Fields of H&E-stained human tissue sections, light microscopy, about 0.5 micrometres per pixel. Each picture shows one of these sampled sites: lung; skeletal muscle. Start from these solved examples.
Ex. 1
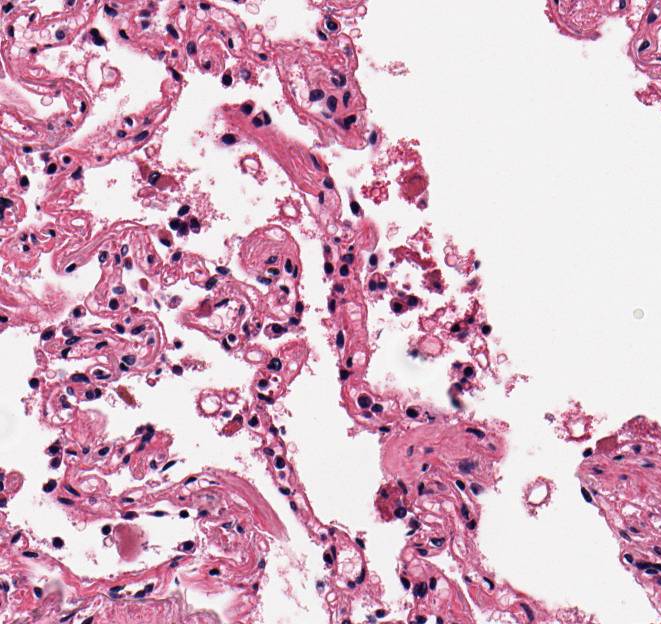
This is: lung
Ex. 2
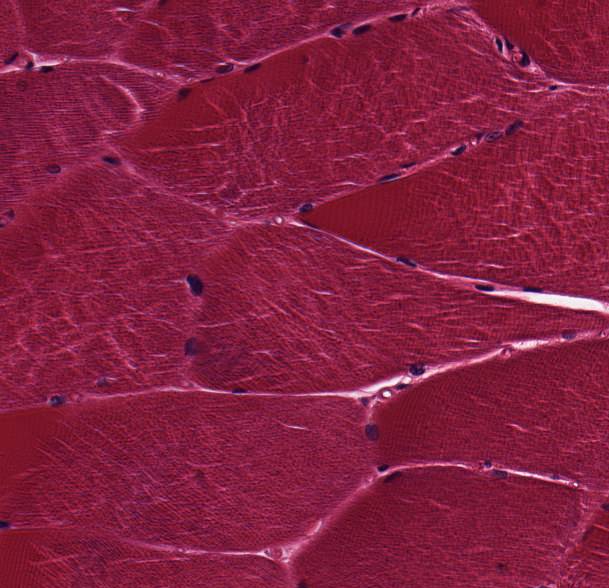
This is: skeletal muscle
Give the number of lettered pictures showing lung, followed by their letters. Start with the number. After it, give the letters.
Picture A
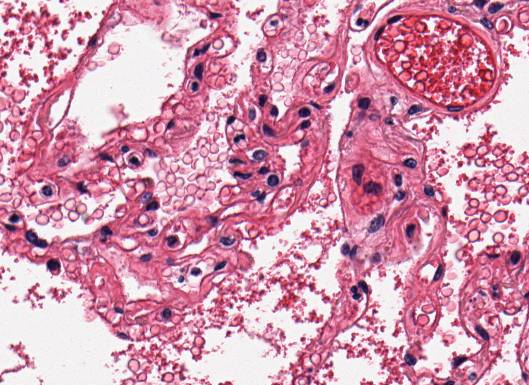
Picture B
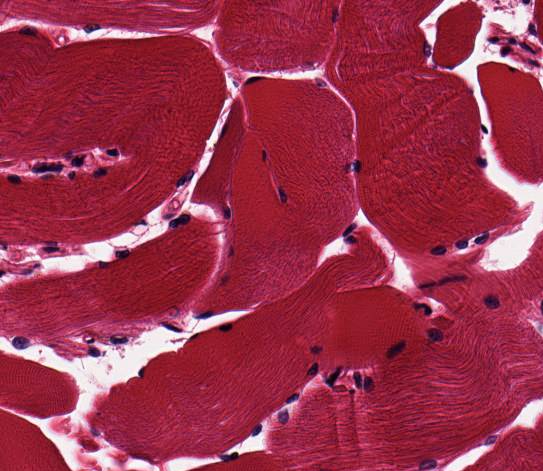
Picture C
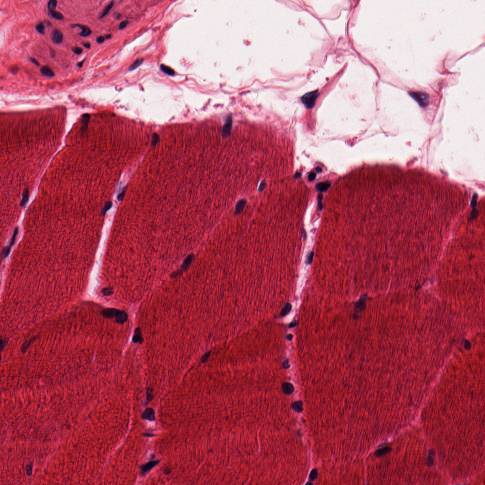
Count: 1 (A)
